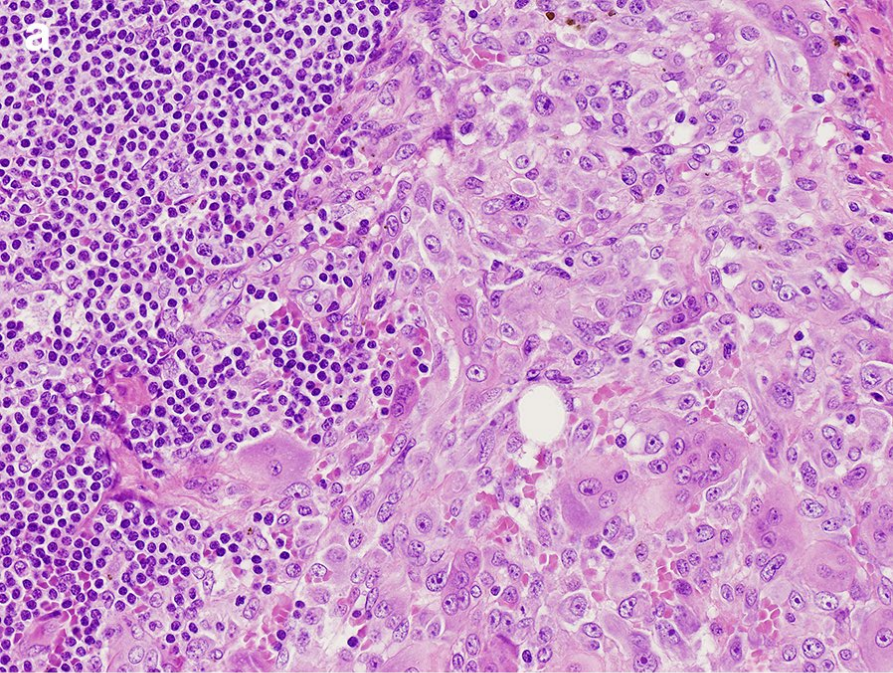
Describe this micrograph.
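Lymph node tissue in which densely packed small lymphocytes with round dark nuclei on the left border a sheet of larger lesional cells on the right. The lesional cells are mostly mononuclear, with oval vesicular nuclei, visible nucleoli and moderate pink cytoplasm, resembling synovial-like cells. Scattered among them are large multinucleate giant cells with abundant eosinophilic cytoplasm, along with extravasated red blood cells and small clear spaces.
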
